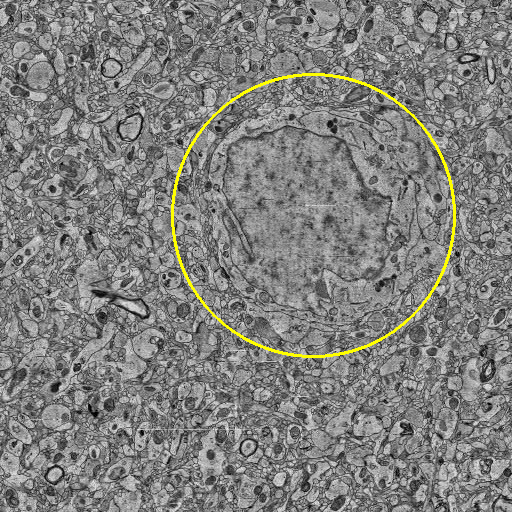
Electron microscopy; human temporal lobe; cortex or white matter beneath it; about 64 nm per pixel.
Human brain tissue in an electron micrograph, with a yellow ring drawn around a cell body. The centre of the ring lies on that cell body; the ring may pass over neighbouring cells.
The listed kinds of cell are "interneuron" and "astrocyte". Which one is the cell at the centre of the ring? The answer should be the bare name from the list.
interneuron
